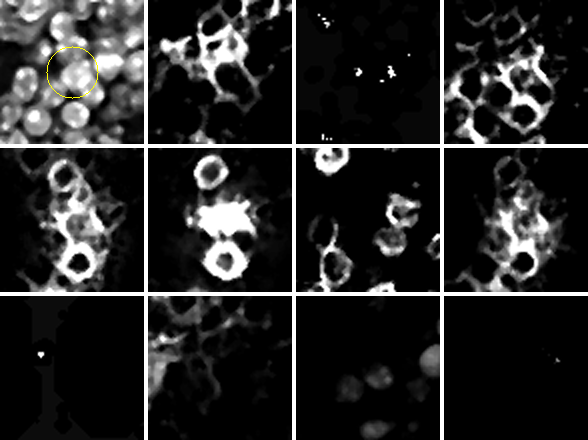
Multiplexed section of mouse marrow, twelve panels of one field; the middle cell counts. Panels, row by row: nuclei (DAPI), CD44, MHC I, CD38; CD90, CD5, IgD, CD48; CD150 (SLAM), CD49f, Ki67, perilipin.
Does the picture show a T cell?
Yes.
